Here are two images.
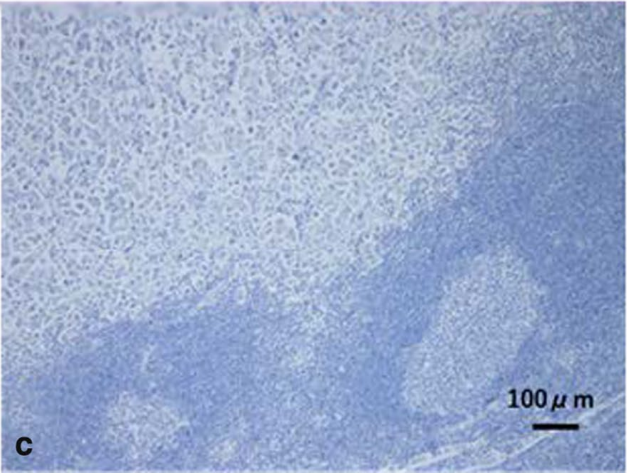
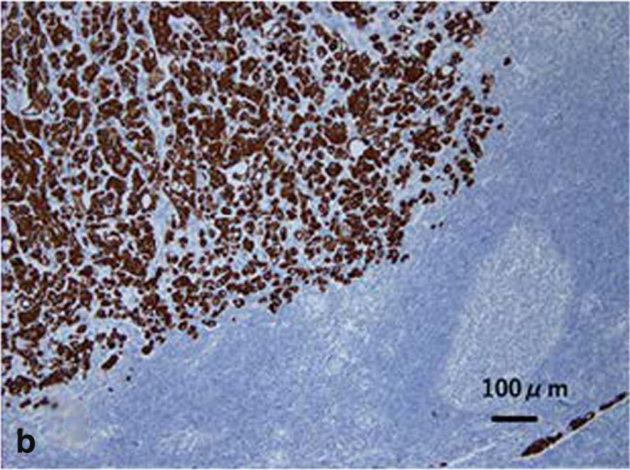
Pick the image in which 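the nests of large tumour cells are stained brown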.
the second image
